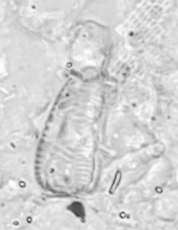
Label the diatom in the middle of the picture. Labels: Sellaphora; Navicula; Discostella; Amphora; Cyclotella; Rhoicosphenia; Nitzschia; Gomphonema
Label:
Gomphonema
